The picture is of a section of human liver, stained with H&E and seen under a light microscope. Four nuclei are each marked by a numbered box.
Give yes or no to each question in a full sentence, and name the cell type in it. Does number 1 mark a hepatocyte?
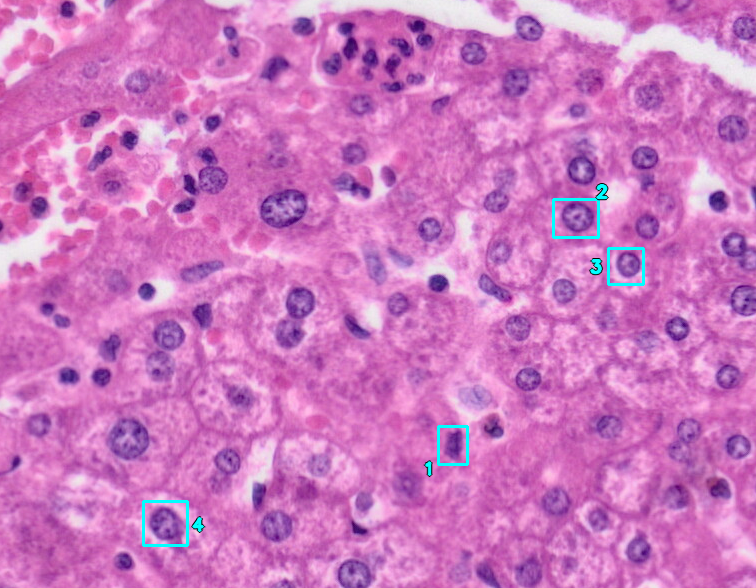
No, cell number 1 is a fibroblast or stellate cell; it is not a hepatocyte.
